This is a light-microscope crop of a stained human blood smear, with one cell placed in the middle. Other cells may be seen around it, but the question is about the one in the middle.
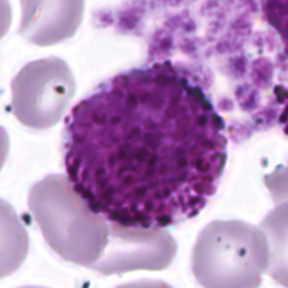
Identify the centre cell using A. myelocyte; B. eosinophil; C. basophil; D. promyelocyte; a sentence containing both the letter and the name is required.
The central cell is a basophil, which makes option C the right answer.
